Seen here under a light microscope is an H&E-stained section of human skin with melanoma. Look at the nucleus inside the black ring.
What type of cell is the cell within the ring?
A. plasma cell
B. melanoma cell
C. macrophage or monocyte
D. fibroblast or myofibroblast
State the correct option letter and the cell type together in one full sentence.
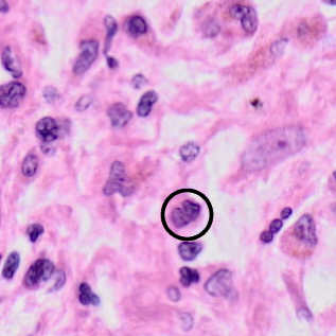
In this section the cell within the ring is a macrophage or monocyte; option C is therefore correct.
